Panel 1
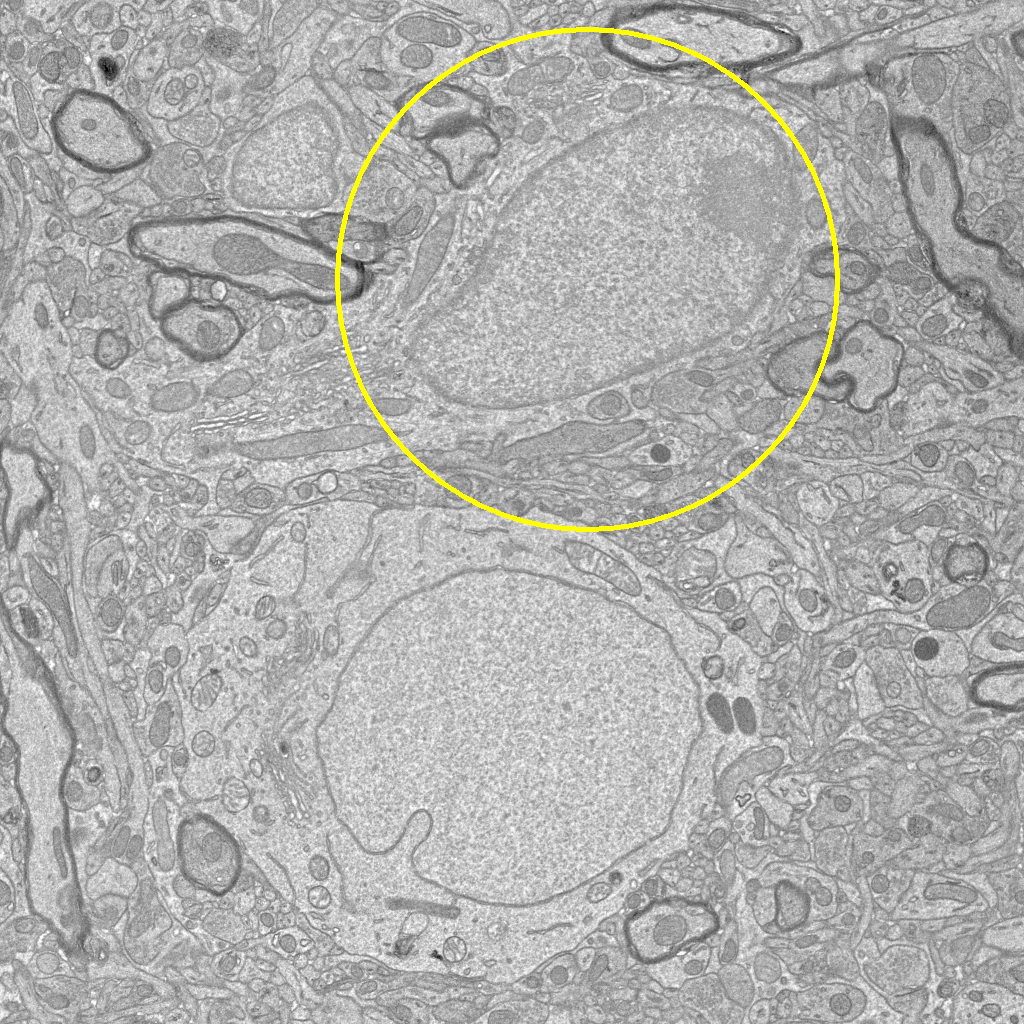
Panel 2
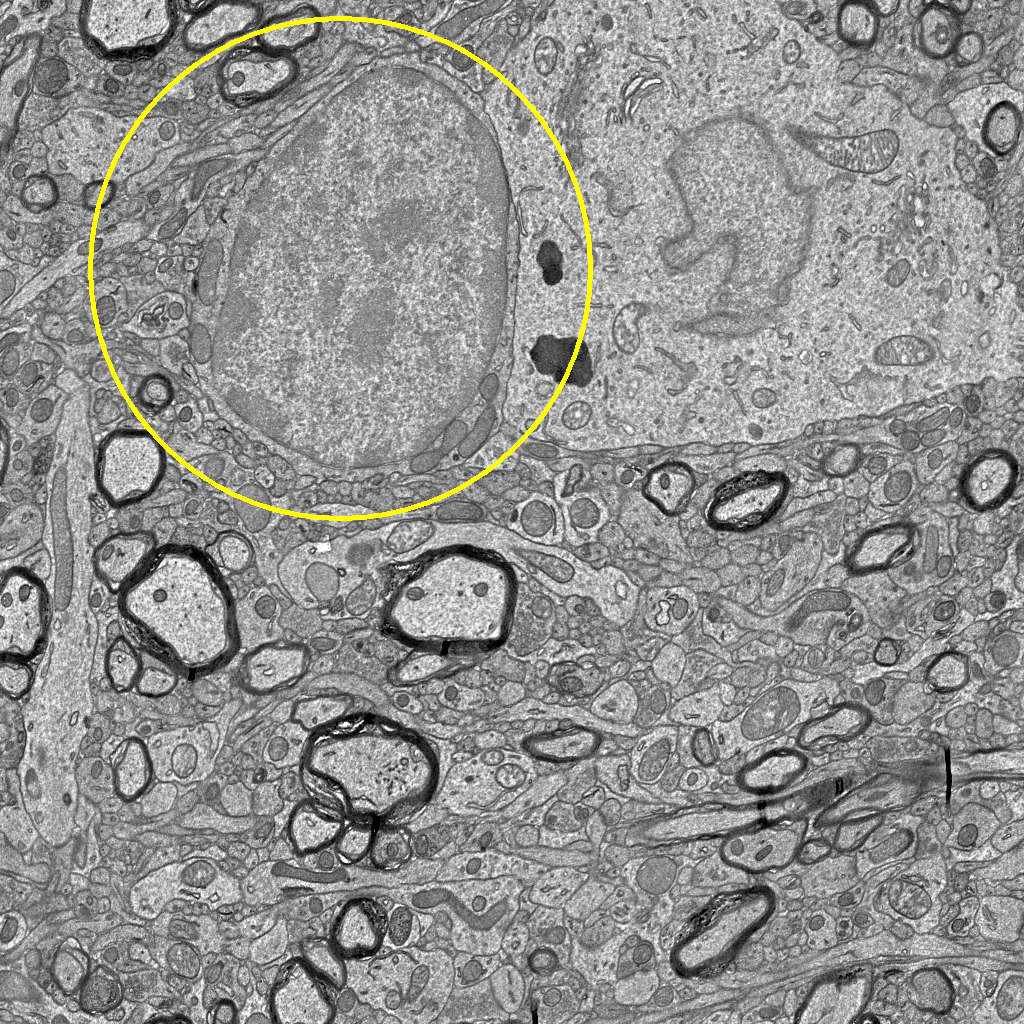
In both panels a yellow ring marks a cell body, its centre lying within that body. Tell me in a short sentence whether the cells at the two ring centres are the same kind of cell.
No, they are two kinds of cell.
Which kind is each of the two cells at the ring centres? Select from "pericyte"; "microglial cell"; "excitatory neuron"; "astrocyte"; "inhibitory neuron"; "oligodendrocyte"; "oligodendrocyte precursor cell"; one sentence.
The second picture holds an oligodendrocyte in its ring, and the first holds an astrocyte.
